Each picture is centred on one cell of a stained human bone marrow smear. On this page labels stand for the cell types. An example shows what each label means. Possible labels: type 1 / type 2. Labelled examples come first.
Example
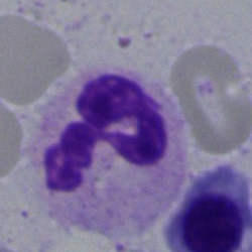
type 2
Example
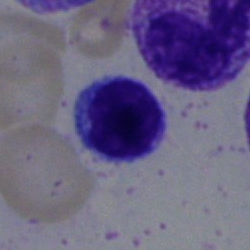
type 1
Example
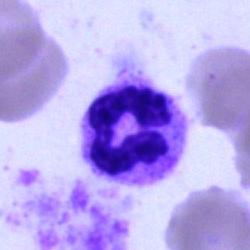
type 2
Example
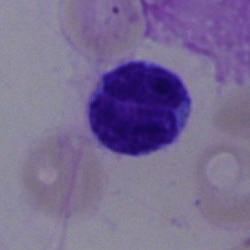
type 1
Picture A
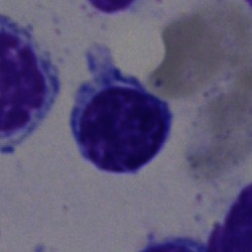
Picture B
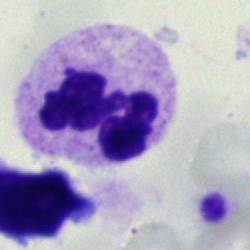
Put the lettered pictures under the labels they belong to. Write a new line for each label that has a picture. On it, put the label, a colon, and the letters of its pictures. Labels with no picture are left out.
type 1: A
type 2: B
